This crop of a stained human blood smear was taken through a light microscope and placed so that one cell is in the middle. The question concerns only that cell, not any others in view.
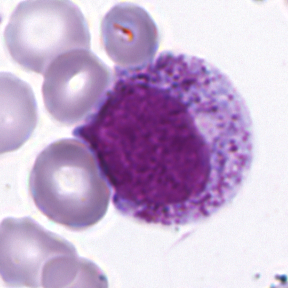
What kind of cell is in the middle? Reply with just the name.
myelocyte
